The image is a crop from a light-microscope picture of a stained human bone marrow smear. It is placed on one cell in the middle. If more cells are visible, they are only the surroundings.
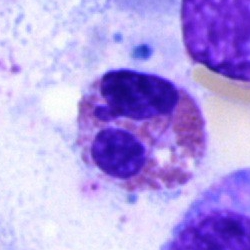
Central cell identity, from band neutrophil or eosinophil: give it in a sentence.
The cell at the heart of this crop is an eosinophil.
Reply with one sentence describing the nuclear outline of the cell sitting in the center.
It is worth mentioning that the nucleus carries two or more lobes.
